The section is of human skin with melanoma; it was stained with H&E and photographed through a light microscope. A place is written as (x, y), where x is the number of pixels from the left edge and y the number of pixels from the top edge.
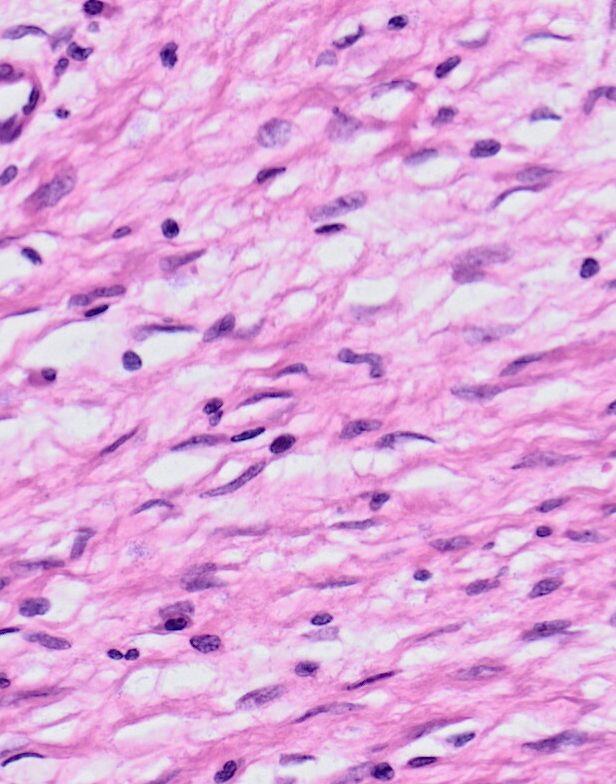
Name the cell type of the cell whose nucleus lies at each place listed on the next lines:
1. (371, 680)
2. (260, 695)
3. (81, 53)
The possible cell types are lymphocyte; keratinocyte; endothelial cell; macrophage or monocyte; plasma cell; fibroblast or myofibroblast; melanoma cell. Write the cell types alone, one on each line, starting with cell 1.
fibroblast or myofibroblast
fibroblast or myofibroblast
lymphocyte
